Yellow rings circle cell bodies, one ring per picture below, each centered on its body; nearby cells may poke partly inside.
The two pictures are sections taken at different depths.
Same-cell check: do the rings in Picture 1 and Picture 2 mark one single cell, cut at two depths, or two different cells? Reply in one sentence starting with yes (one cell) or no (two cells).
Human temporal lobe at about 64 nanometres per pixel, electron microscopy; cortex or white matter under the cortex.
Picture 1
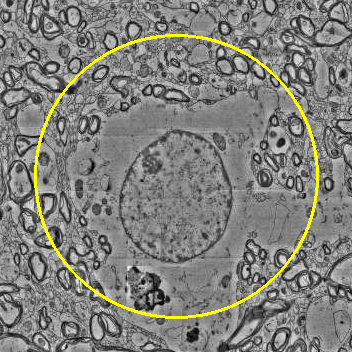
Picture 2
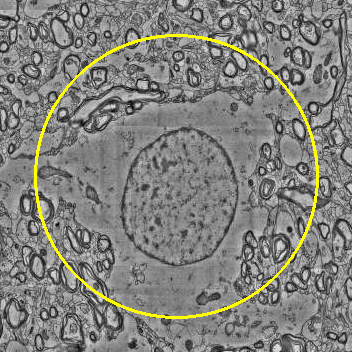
Yes, the same cell appears within both yellow rings.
